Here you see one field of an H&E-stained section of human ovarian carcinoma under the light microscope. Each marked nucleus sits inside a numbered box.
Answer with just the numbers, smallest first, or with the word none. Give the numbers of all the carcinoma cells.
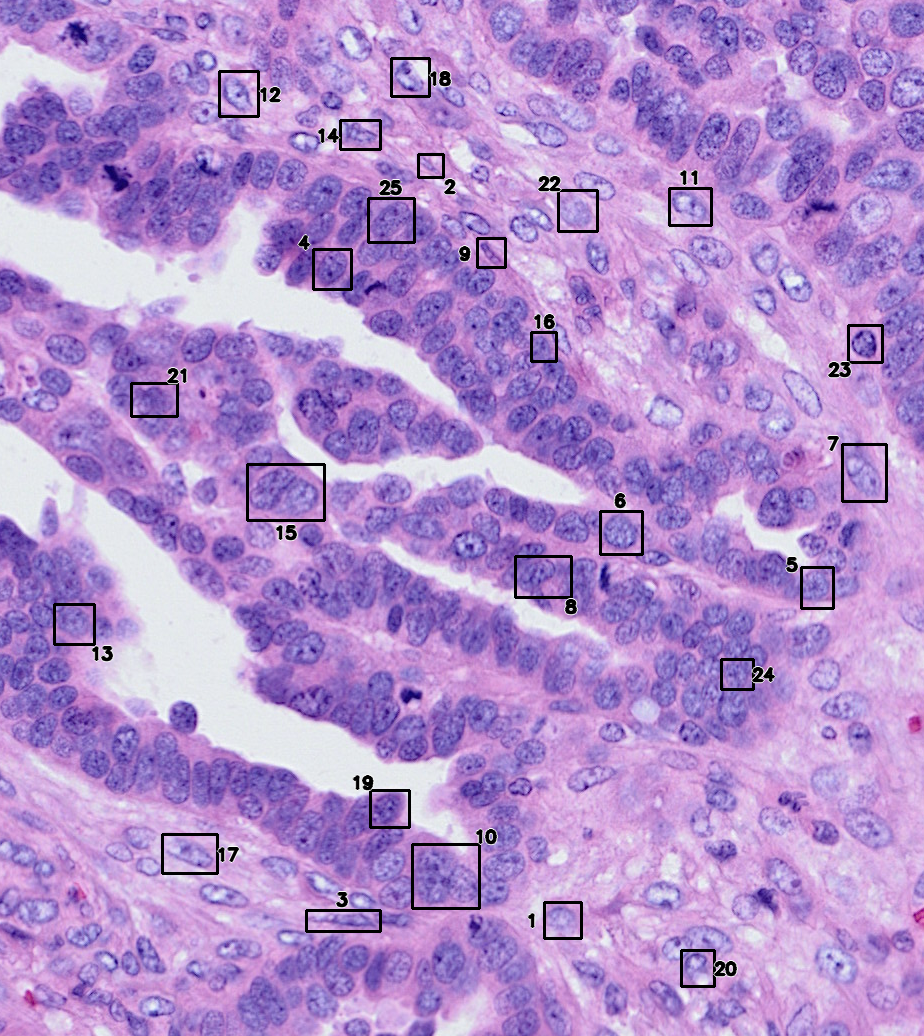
4, 5, 6, 8, 10, 13, 15, 16, 19, 21, 24, 25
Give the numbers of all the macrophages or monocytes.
23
